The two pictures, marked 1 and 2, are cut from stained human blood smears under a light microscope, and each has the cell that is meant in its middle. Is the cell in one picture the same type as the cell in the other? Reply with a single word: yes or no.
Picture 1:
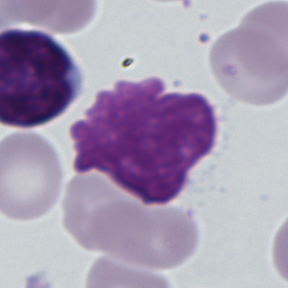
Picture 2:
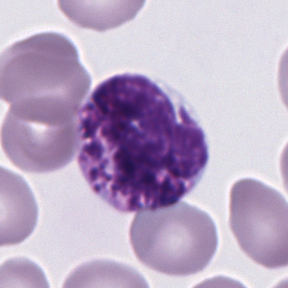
no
